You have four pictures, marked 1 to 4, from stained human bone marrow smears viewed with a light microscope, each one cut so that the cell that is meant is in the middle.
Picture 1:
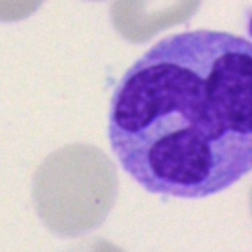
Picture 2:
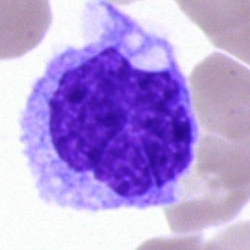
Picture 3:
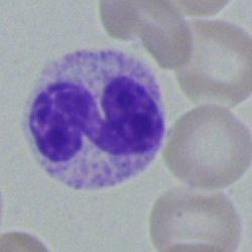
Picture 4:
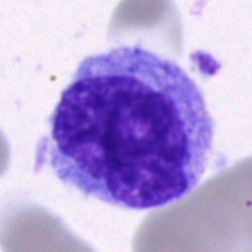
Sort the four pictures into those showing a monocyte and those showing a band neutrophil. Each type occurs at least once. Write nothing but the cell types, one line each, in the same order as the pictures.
monocyte
monocyte
band neutrophil
monocyte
